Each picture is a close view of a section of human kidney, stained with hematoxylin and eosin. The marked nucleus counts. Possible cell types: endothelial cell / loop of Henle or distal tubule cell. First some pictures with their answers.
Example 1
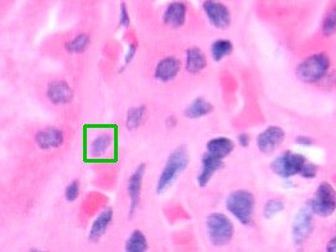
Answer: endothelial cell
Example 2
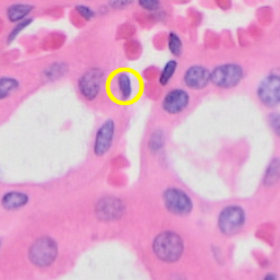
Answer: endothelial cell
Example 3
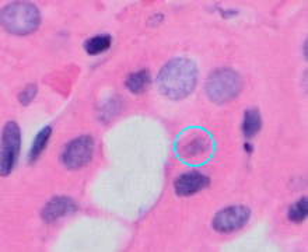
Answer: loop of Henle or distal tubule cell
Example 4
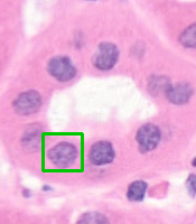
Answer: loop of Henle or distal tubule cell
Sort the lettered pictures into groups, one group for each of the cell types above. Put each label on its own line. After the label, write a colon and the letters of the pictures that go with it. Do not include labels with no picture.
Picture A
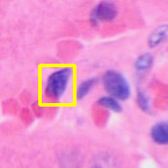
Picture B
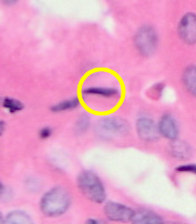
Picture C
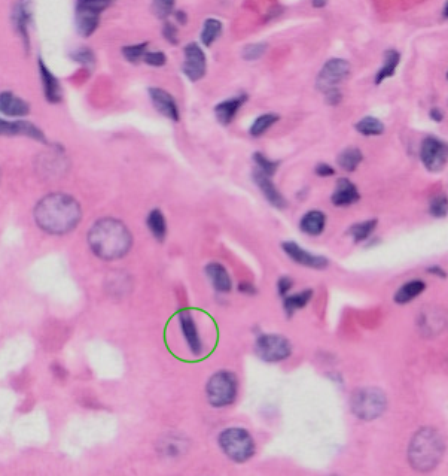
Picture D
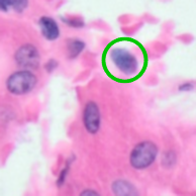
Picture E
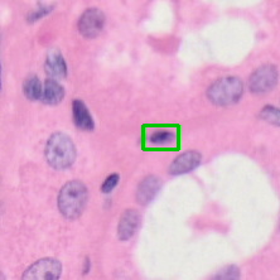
endothelial cell: A, B, C, D, E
